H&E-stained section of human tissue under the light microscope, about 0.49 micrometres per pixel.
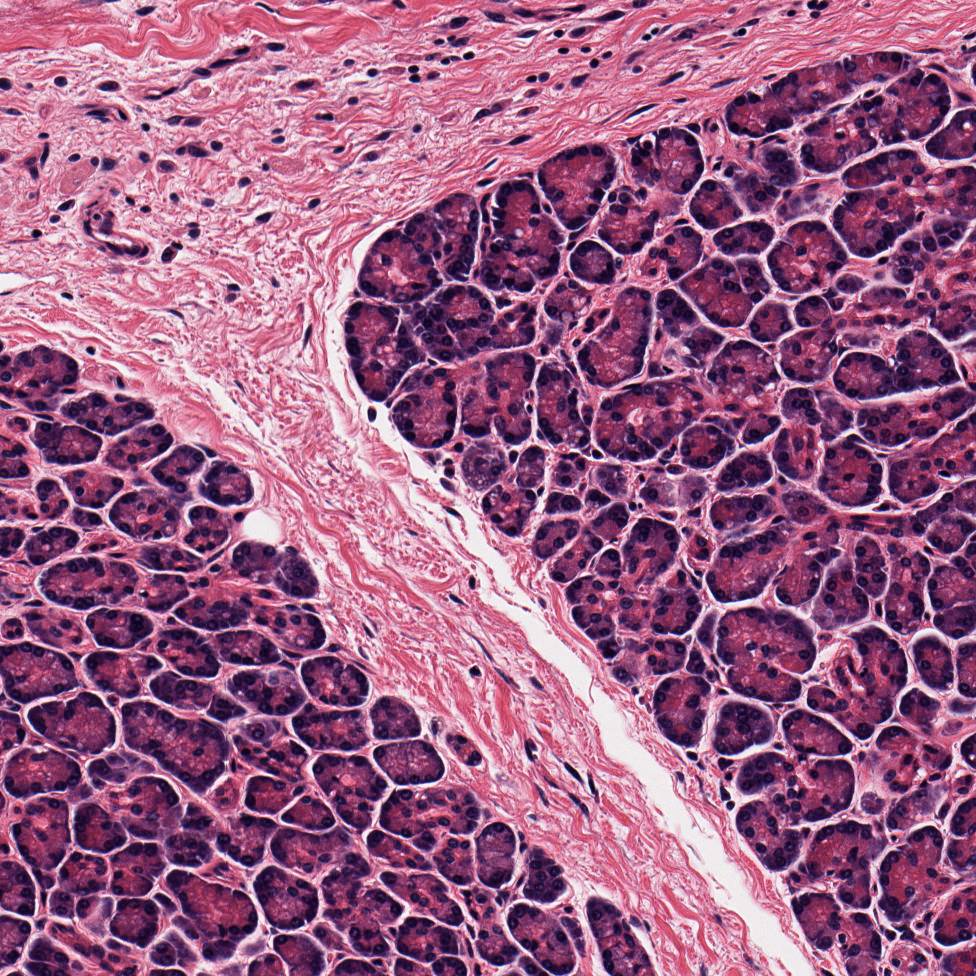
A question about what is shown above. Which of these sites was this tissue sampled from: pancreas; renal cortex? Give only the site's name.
pancreas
